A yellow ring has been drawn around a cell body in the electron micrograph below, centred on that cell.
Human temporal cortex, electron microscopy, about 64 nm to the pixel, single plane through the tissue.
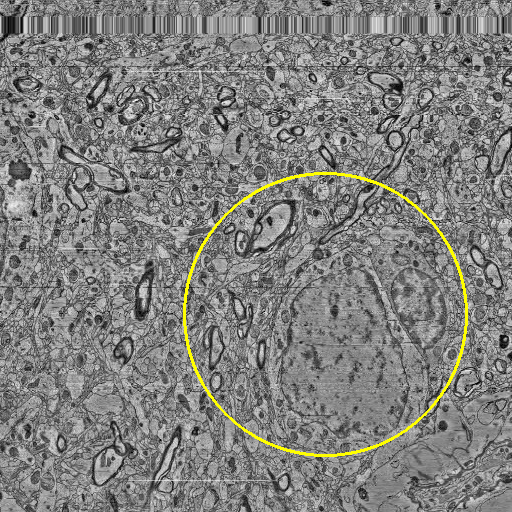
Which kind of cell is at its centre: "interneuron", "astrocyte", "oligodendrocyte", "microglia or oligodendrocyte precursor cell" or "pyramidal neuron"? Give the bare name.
interneuron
